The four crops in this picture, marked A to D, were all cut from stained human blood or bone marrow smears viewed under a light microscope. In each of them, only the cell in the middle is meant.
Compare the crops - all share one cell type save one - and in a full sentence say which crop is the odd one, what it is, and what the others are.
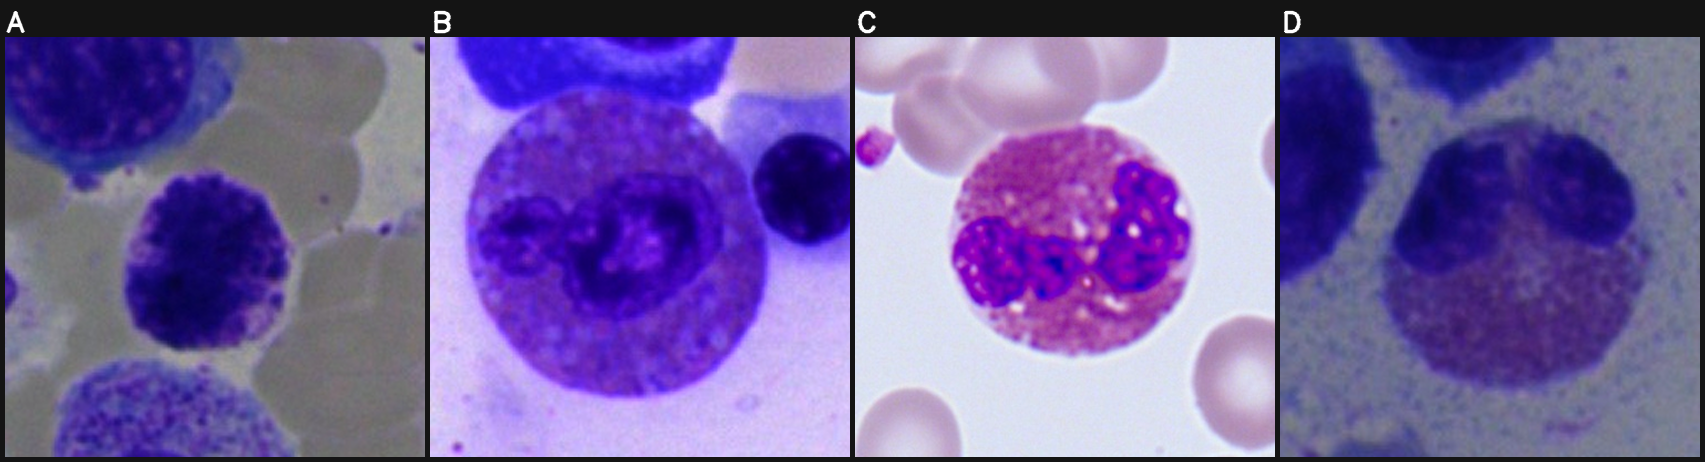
Crop A is a basophil, and the other crops all show eosinophils.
